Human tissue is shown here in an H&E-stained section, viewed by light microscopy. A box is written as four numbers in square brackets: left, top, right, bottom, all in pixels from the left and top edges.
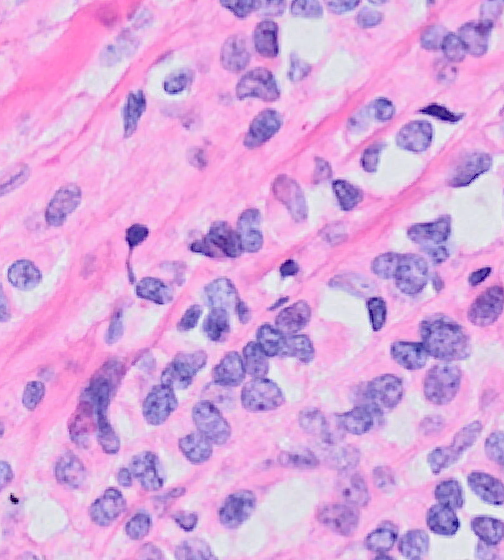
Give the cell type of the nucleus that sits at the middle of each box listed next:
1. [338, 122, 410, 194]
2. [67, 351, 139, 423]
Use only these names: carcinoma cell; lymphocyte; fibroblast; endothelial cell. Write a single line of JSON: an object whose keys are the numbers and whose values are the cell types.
{"1": "carcinoma cell", "2": "endothelial cell"}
